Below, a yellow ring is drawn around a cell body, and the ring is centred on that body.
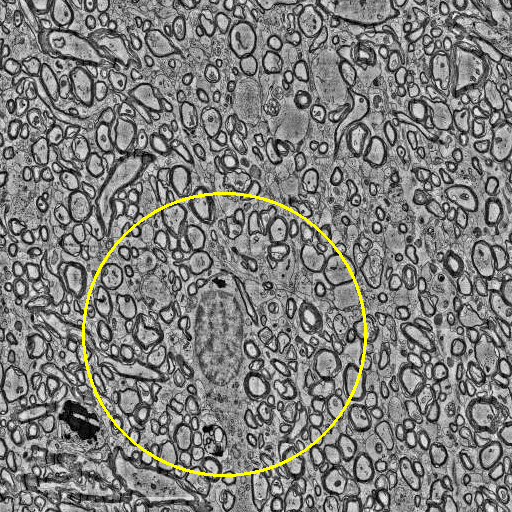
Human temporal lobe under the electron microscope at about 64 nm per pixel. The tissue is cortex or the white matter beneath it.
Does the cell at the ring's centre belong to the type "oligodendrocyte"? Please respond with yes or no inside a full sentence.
Yes, the centred cell inside the ring shown in the picture is of this type.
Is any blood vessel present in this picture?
No.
